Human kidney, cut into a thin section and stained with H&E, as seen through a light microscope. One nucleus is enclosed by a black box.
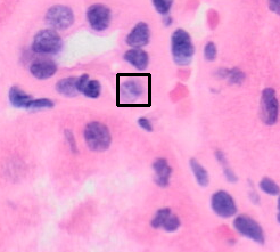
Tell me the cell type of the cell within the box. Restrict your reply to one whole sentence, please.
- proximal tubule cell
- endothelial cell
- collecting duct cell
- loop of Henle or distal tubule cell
The cell type represented by the cell within the box is that of a collecting duct cell.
